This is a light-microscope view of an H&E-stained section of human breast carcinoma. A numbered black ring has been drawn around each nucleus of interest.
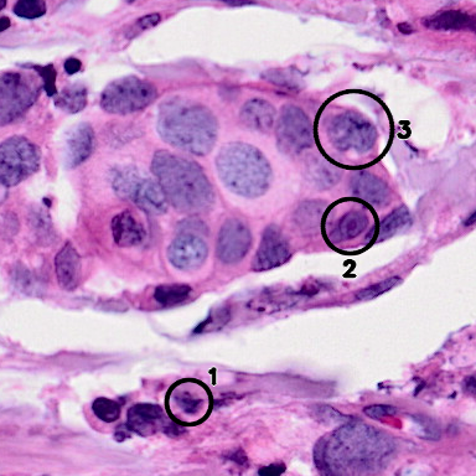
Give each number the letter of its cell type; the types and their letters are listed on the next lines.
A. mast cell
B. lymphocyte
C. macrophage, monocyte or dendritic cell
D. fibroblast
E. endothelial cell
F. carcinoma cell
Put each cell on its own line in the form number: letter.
1: B
2: F
3: F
